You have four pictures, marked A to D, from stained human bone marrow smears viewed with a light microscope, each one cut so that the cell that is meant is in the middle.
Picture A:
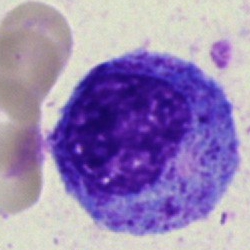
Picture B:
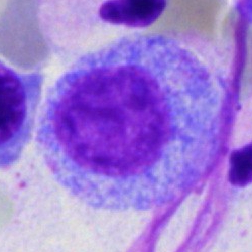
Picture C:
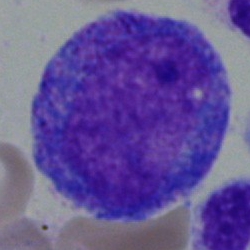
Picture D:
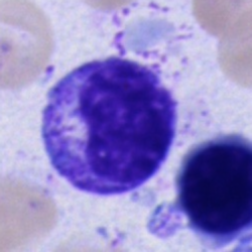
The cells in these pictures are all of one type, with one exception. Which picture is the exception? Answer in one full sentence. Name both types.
The different one is picture D; it shows a myelocyte, whereas all the others show promyelocytes.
